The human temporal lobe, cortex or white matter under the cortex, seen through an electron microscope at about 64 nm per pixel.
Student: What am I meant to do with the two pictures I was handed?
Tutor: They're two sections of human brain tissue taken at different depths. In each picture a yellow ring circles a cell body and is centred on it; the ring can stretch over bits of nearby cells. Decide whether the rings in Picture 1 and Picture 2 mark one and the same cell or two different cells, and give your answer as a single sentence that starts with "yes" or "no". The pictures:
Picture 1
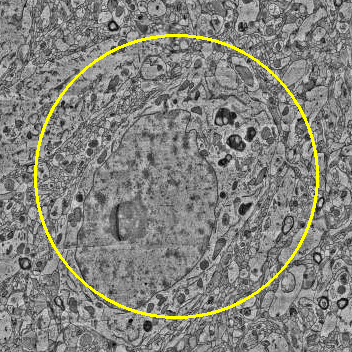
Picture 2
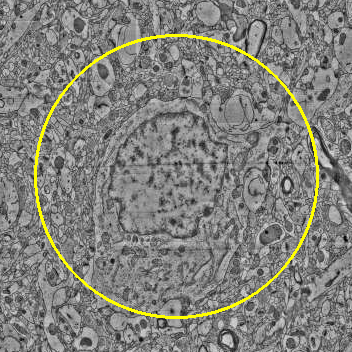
No, each ring in the micrograph marks a distinct cell.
